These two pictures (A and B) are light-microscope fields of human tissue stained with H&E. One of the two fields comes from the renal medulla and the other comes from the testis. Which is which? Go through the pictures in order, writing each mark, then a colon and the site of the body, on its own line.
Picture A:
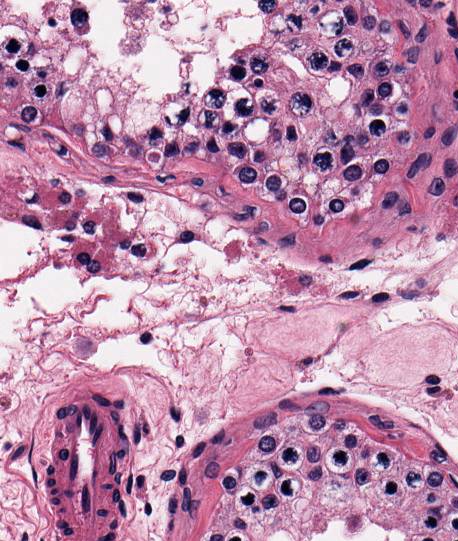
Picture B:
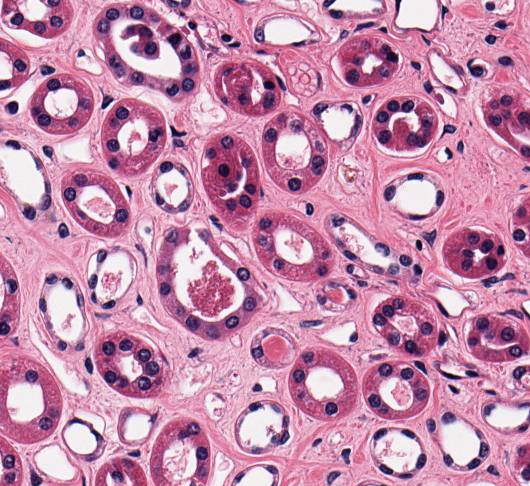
A: testis
B: renal medulla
